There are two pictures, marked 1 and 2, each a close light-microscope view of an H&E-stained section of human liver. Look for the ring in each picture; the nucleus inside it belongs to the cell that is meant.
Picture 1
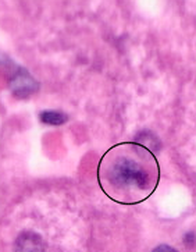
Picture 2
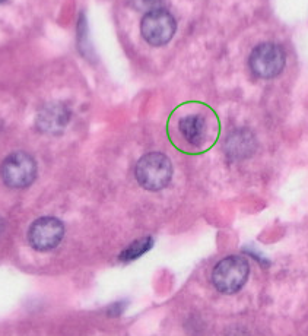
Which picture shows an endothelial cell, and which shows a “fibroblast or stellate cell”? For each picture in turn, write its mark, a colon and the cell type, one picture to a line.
1: endothelial cell
2: fibroblast or stellate cell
